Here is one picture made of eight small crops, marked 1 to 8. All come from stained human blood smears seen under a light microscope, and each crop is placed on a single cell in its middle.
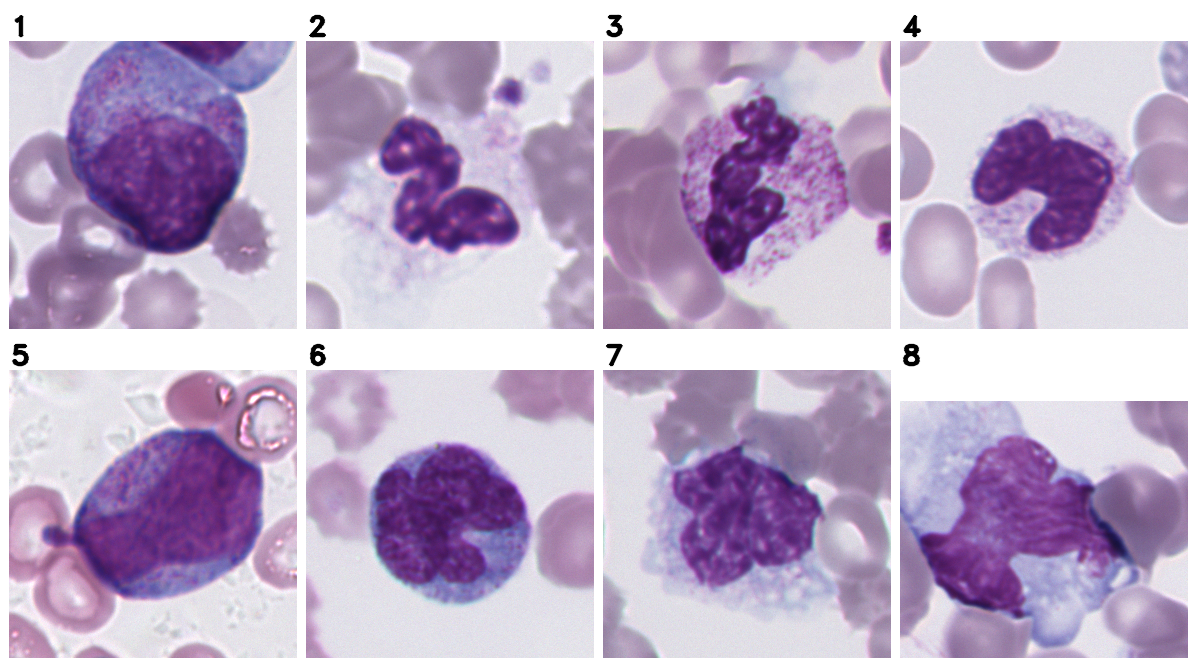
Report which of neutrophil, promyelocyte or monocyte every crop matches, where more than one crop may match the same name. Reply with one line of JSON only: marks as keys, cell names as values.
{"1": "promyelocyte", "2": "neutrophil", "3": "neutrophil", "4": "neutrophil", "5": "promyelocyte", "6": "monocyte", "7": "monocyte", "8": "monocyte"}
